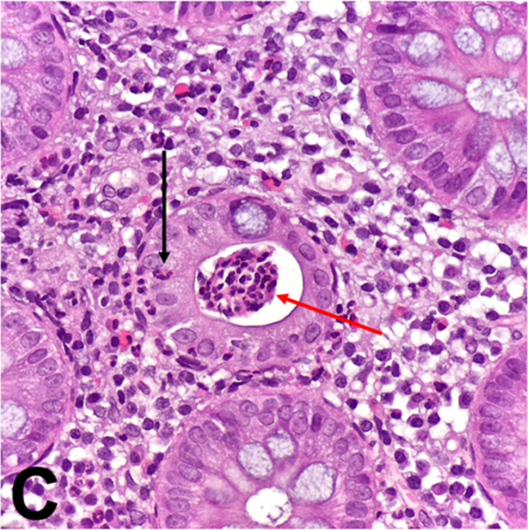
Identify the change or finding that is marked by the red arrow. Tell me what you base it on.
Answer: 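The red arrow points to a cluster of inflammatory cells with lobed nuclei inside a crypt lumen. The cluster is surrounded by the ring of crypt epithelium.
Hence: crypt abscess.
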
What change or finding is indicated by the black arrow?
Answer: Cryptitis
